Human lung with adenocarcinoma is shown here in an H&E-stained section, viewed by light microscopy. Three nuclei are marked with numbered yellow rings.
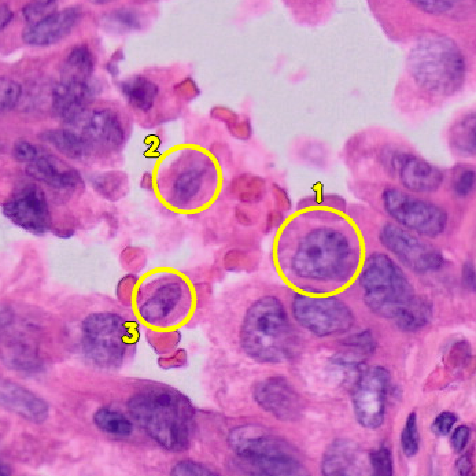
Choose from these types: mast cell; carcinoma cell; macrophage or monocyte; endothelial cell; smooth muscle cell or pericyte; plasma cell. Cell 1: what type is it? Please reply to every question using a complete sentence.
The cell marked with number 1 is a carcinoma cell.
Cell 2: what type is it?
The cell carrying label 2 is identified as a macrophage or monocyte.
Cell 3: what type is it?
The mark numbered 3 indicates the nucleus of a macrophage or monocyte.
